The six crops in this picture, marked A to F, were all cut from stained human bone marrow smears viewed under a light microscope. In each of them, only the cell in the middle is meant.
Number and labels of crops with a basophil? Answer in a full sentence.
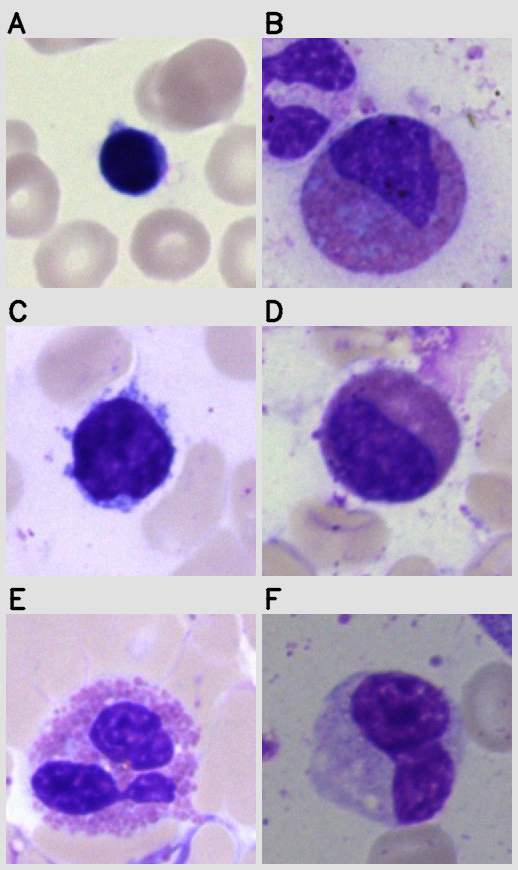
None of the crops shows basophils, so the count is zero.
